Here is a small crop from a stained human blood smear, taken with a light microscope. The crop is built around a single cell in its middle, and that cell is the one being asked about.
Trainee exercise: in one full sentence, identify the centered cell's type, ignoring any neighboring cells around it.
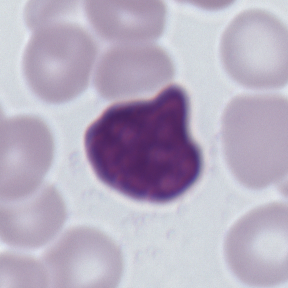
In the central position of this crop, the cell is a smudge cell.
